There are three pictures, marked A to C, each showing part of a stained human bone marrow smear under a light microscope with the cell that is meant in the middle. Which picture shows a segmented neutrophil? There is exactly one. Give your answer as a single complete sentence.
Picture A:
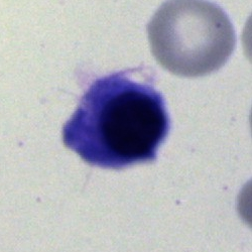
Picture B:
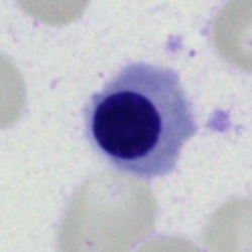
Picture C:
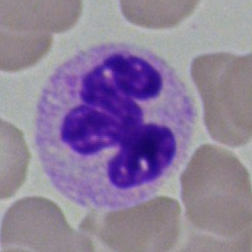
The cell in picture C is the segmented neutrophil.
